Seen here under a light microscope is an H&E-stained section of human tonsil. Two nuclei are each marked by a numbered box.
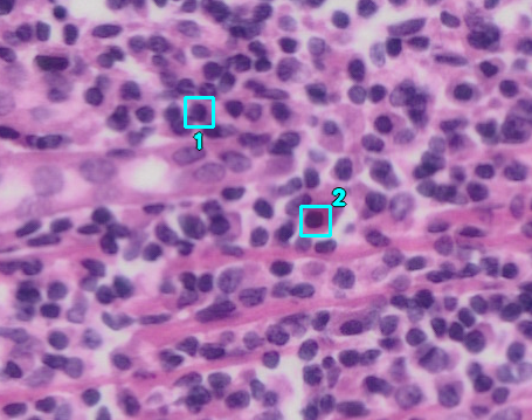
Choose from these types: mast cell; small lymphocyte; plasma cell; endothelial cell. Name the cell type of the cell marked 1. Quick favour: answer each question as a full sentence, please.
The cell referred to as 1 is a small lymphocyte.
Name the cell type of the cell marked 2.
Cell 2 in the field of view is a plasma cell.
